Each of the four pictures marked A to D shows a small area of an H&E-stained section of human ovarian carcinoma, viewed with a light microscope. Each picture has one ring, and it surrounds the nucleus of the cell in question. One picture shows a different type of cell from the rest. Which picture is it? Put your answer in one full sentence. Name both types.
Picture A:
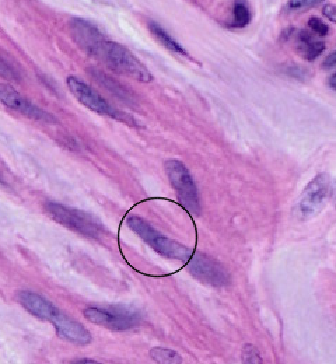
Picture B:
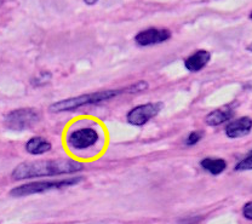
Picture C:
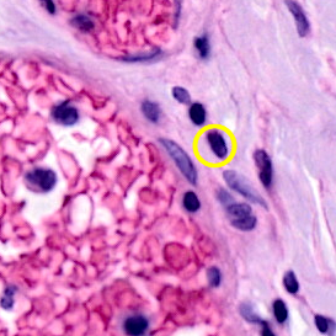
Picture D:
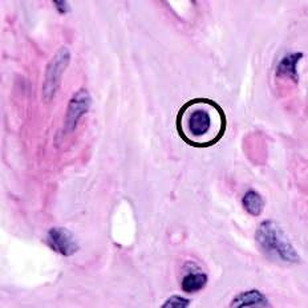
All pictures except A show lymphocytes; picture A shows a smooth muscle cell.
